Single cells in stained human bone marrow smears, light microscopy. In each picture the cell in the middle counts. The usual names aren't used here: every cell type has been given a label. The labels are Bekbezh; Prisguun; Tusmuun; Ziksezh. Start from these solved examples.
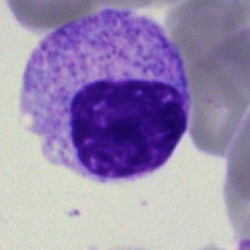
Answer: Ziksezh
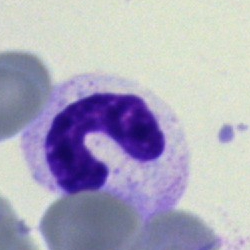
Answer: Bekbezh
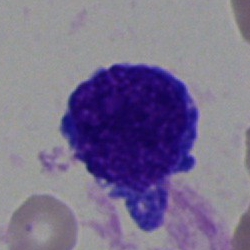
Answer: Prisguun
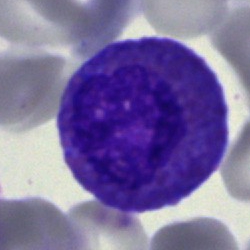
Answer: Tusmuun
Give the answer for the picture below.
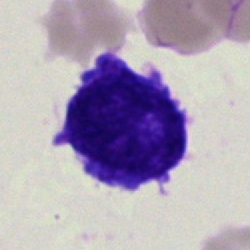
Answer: Prisguun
